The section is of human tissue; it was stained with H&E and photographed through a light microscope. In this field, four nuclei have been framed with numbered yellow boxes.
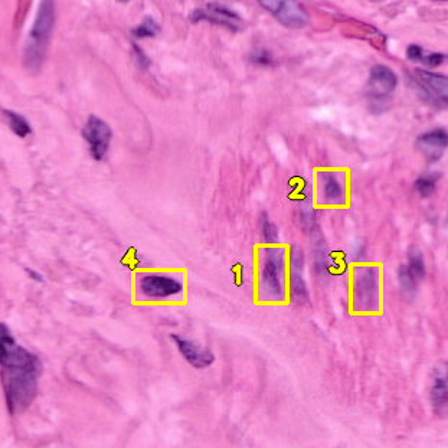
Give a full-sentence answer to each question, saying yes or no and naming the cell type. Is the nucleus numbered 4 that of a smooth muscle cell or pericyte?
No, sorry, the cell labelled 4 is not a smooth muscle cell or pericyte; it is a mast cell.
